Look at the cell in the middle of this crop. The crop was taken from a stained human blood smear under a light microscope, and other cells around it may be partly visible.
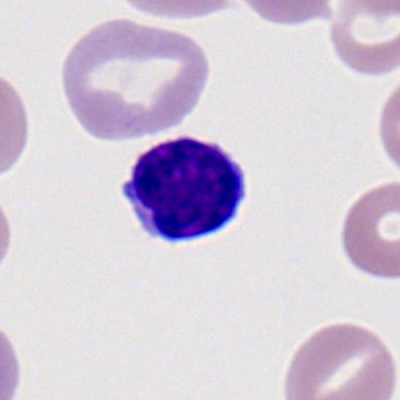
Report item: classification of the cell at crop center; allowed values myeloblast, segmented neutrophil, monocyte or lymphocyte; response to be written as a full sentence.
The cell sitting right in the middle is a lymphocyte.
